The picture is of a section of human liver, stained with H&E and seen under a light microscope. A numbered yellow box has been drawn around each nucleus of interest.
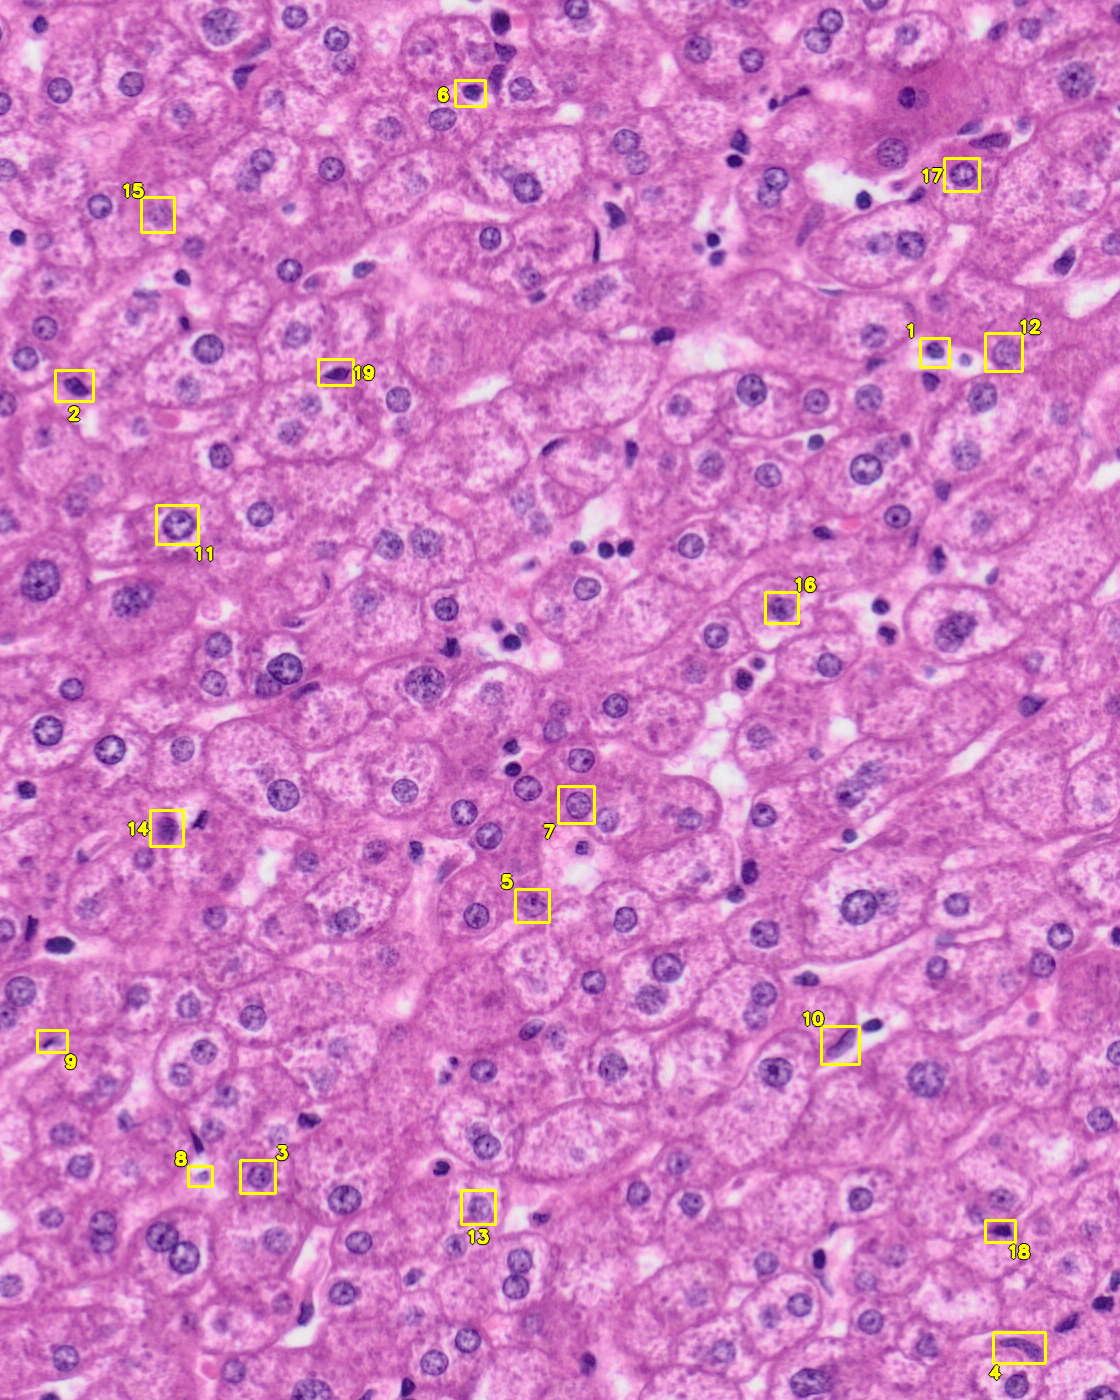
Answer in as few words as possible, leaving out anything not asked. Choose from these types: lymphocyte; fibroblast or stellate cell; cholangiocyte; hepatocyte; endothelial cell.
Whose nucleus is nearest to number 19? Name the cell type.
hepatocyte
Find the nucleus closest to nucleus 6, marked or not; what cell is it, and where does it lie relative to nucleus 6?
a fibroblast or stellate cell above and to the right of nucleus 6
